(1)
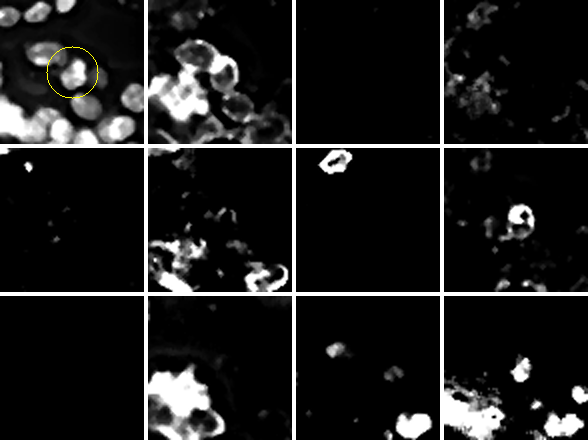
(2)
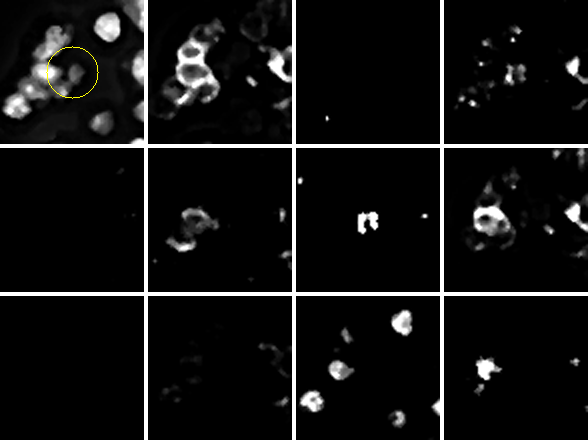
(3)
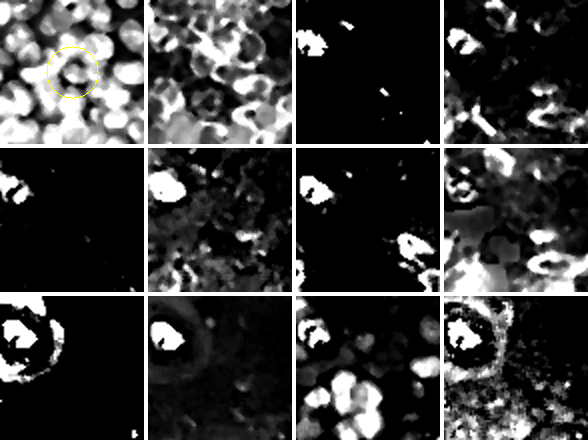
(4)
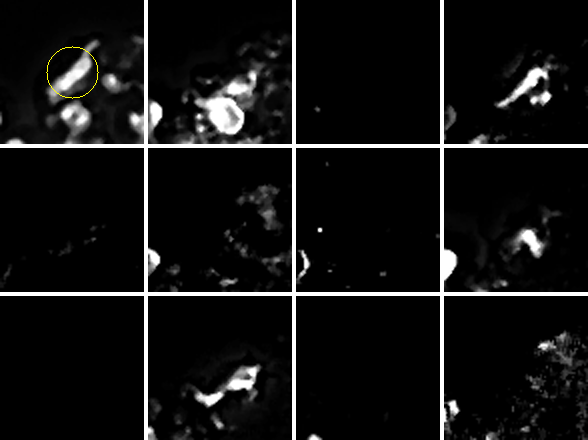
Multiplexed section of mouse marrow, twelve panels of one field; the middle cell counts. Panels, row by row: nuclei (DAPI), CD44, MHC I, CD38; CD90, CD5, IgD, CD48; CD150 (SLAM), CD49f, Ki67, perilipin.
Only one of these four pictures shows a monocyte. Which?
Picture 1.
